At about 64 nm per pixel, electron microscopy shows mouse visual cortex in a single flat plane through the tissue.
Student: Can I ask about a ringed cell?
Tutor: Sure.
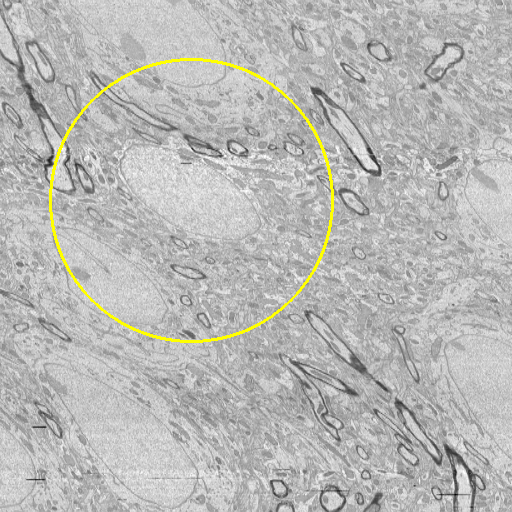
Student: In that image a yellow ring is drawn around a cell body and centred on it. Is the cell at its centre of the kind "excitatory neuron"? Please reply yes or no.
No, the cell is of another kind.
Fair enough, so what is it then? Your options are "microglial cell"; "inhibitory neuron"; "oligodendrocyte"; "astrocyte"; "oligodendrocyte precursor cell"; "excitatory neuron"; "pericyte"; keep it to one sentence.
The cell in question here is an astrocyte.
